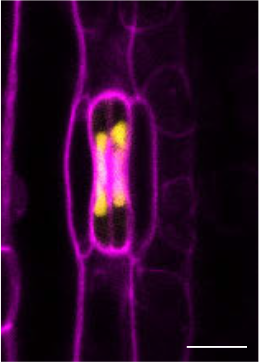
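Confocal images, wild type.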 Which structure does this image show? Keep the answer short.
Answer: stomatal complexes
